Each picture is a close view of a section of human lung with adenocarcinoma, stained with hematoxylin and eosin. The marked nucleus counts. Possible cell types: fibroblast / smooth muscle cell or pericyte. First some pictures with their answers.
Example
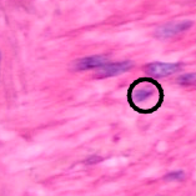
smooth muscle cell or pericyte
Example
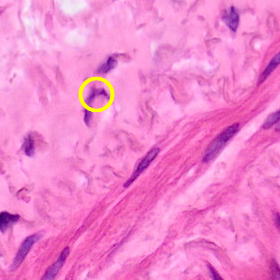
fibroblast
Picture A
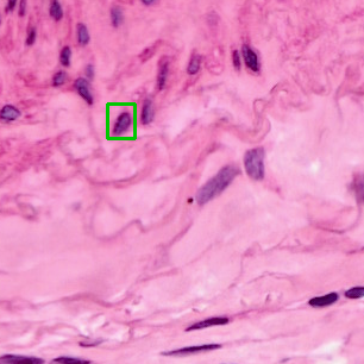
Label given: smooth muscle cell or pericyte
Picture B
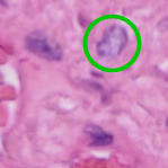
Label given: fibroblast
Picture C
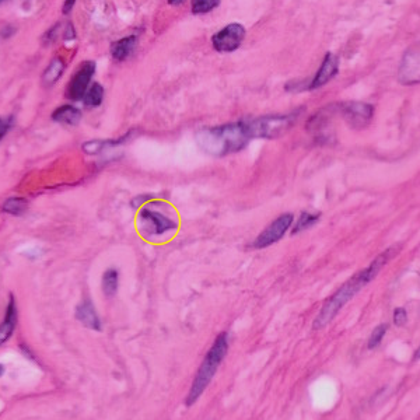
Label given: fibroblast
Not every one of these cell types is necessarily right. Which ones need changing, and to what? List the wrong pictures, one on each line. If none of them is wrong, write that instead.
No label is wrong.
